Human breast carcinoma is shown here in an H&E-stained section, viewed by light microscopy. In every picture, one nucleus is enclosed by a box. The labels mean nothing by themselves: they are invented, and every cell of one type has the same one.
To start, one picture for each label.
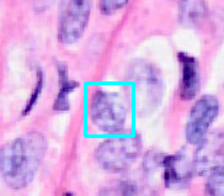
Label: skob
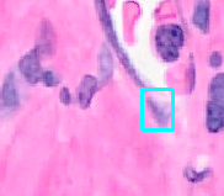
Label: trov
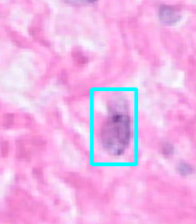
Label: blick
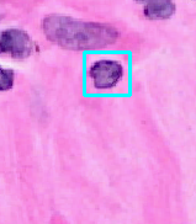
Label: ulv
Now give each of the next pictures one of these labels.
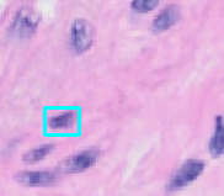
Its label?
trov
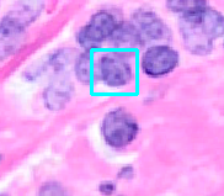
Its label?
skob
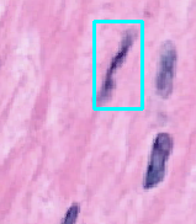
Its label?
blick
